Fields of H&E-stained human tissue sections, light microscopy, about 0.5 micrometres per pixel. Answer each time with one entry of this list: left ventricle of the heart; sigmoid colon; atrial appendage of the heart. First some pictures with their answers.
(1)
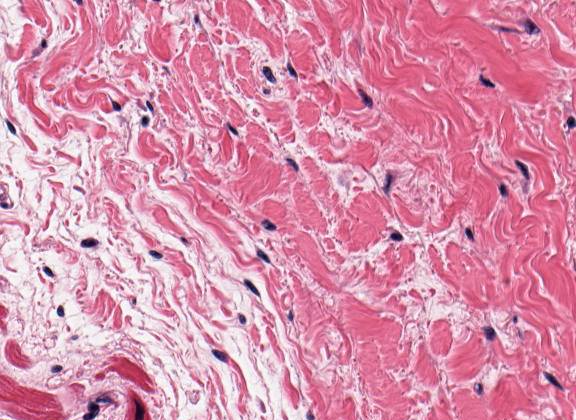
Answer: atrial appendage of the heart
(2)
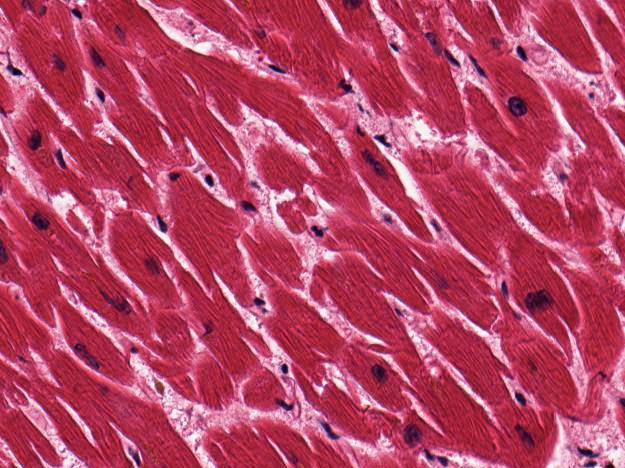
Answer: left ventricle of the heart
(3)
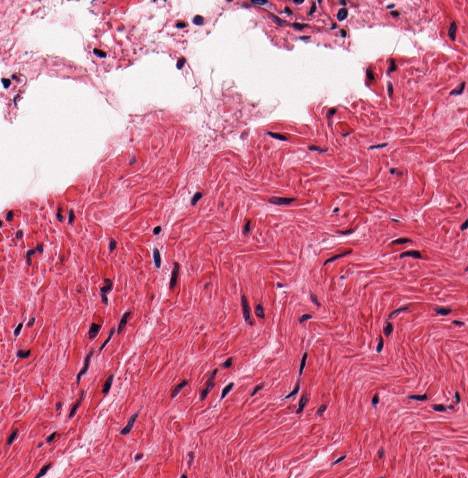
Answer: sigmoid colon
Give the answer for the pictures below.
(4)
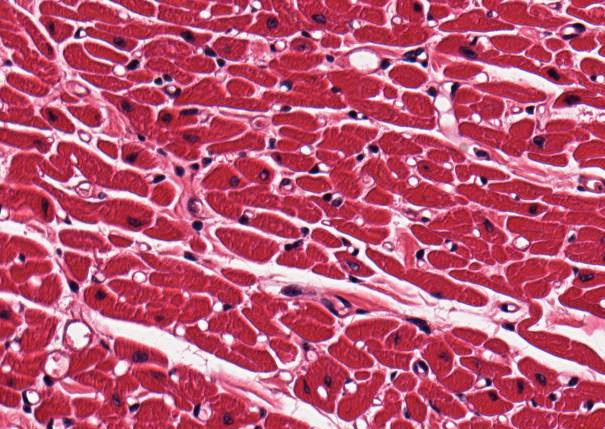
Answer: left ventricle of the heart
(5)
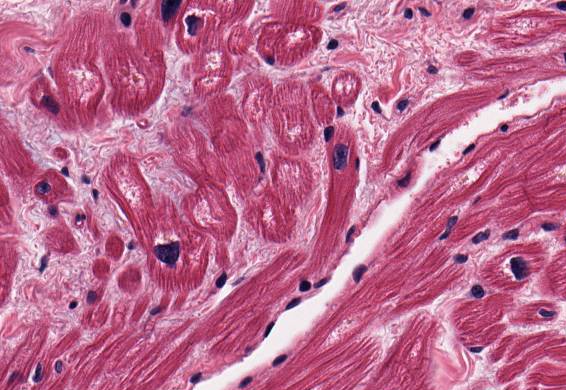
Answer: atrial appendage of the heart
